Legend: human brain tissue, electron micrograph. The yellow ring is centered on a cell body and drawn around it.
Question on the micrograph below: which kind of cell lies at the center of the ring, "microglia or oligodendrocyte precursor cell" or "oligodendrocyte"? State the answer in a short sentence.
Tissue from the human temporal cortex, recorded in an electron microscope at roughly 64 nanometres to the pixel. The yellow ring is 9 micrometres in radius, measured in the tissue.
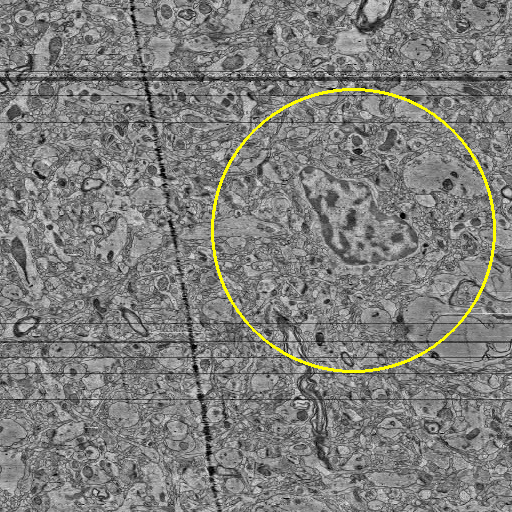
At the center of the ring lies a microglial cell or oligodendrocyte precursor cell.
